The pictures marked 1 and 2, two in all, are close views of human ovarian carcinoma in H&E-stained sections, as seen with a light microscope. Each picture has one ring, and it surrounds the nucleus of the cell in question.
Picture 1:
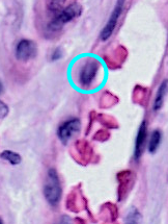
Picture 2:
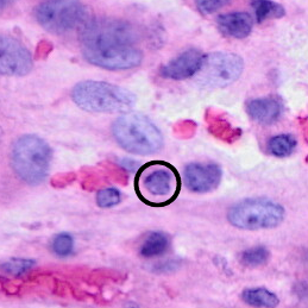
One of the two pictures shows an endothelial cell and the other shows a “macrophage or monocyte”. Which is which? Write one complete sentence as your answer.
Picture 2 shows a “macrophage or monocyte”, while picture 1 shows an endothelial cell.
